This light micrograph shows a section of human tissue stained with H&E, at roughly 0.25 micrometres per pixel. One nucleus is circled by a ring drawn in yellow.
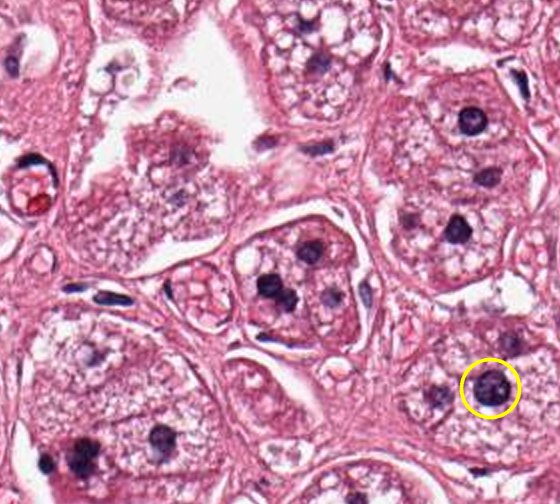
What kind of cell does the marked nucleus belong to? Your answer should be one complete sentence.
Here the marked nucleus belongs to an adrenal cortical cell.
